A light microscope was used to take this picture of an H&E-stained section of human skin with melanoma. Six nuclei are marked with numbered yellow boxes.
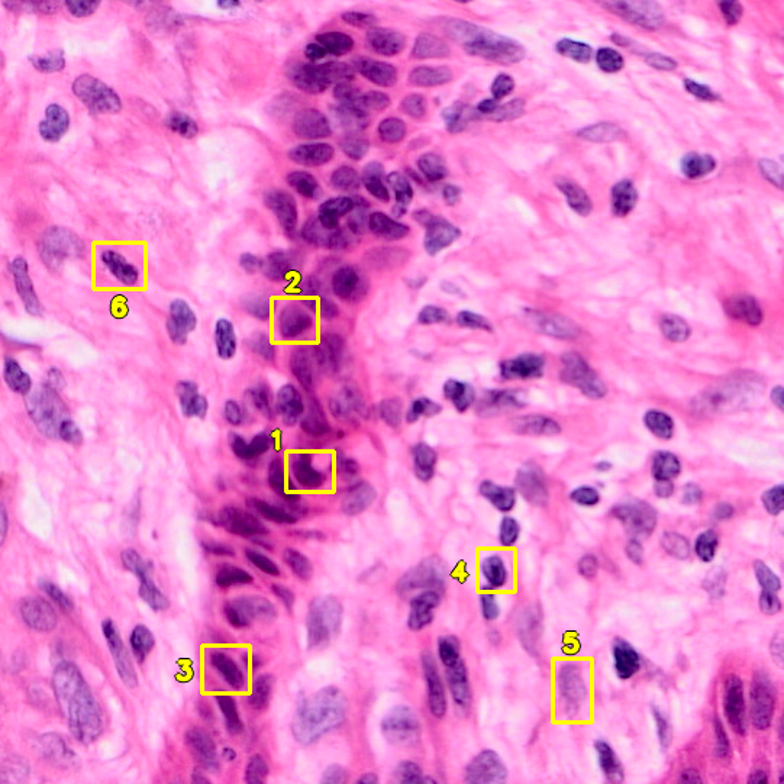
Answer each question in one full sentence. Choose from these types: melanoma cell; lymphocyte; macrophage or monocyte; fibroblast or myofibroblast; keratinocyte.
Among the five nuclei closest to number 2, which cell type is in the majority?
Keratinocytes account for more than half of the five nuclei nearest to number 2.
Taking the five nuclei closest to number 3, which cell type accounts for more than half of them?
Of the five nuclei nearest to number 3, most belong to keratinocytes.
